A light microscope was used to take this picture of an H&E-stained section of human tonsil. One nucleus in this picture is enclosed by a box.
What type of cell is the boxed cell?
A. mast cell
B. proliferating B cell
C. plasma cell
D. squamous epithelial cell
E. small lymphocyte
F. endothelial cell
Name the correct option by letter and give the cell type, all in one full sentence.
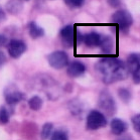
In keeping with option B, the boxed cell is a proliferating B cell.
